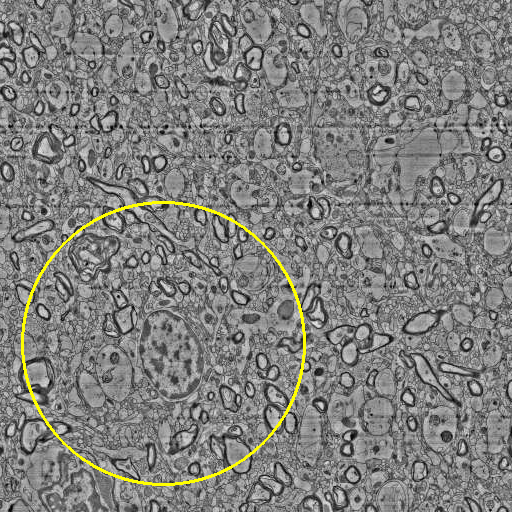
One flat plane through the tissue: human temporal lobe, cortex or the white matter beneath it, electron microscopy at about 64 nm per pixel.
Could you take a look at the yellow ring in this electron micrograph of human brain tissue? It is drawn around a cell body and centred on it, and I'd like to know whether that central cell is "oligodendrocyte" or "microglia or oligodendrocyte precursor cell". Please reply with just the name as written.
microglia or oligodendrocyte precursor cell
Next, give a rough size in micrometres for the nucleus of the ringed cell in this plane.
The nucleus of the ringed cell is approximately 6 by 4 micrometres in this plane.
